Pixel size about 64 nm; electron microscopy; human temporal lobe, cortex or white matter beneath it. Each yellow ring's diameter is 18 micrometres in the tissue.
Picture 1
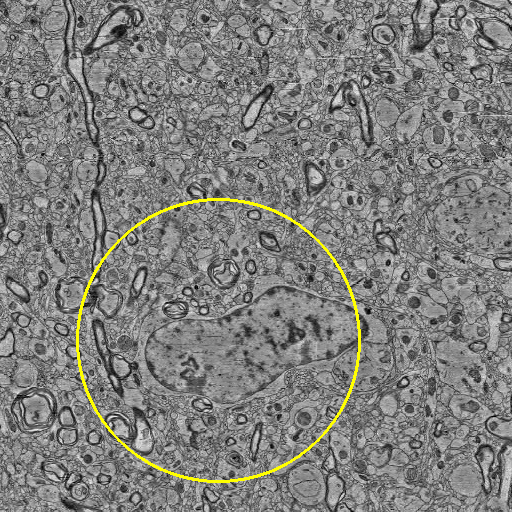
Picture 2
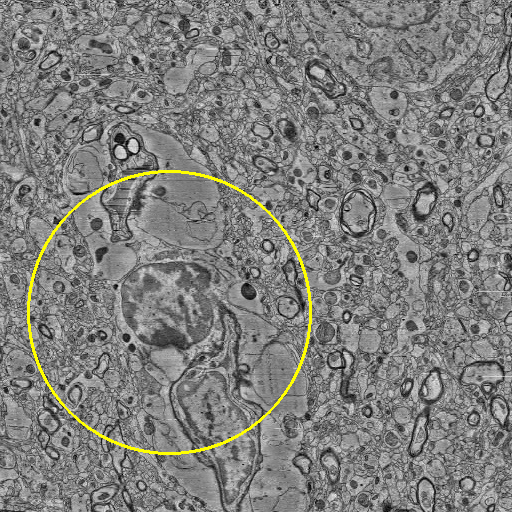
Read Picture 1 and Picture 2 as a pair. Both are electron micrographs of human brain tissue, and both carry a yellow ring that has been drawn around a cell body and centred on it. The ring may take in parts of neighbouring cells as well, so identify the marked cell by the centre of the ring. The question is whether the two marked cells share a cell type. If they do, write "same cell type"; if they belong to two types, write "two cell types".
same cell type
